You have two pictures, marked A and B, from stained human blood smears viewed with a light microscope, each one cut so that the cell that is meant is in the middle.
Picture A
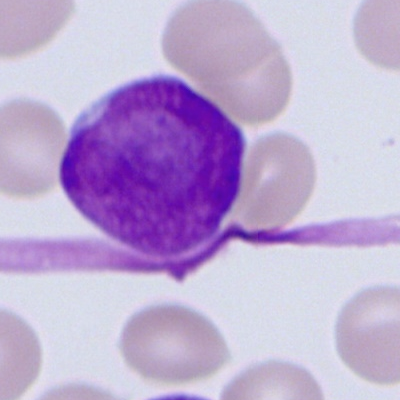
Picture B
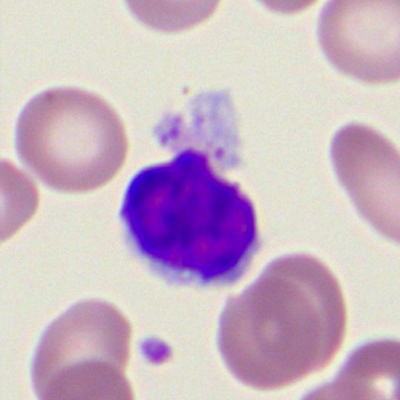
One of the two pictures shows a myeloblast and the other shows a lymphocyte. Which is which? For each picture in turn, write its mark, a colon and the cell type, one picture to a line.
A: myeloblast
B: lymphocyte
